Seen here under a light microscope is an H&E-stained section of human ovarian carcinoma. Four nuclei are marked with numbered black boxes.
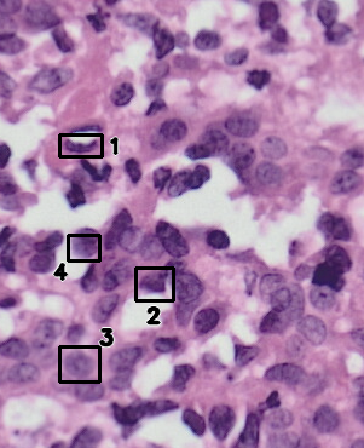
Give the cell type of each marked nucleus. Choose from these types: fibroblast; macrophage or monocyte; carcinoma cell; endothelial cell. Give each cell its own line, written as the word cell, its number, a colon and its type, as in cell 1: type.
cell 1: endothelial cell
cell 2: carcinoma cell
cell 3: carcinoma cell
cell 4: carcinoma cell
